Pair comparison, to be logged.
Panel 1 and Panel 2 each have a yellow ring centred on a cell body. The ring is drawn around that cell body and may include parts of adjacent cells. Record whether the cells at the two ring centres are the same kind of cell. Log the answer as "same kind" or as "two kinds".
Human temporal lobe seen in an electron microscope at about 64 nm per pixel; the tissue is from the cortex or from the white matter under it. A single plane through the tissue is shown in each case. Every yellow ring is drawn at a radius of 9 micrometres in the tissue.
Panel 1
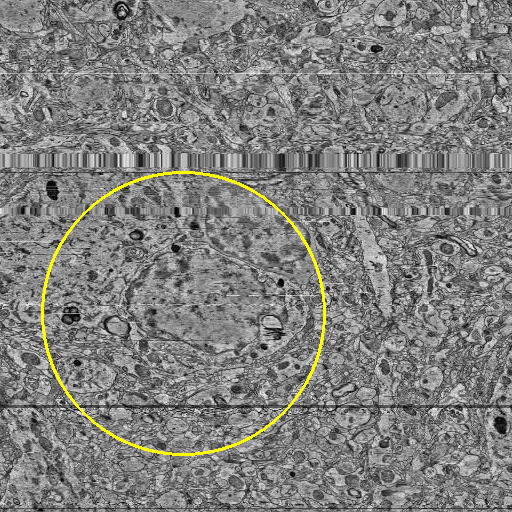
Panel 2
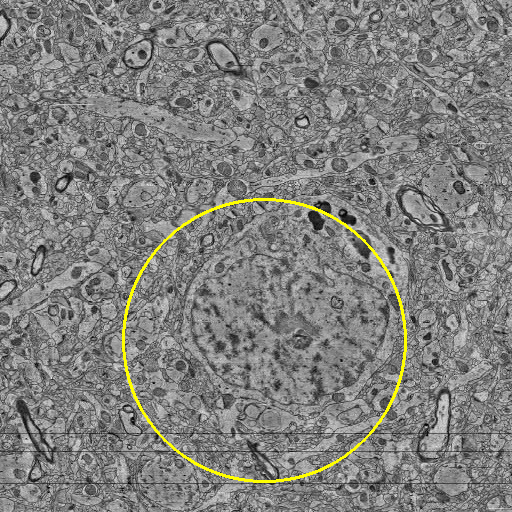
same kind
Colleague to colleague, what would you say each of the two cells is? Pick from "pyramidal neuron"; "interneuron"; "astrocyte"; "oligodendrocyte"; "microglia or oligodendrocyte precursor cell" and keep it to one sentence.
Each cell, in the first picture and the second, is an interneuron.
